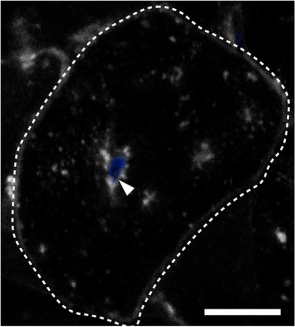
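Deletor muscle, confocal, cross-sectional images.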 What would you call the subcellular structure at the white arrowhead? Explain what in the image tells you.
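The arrowhead points to a small blue body near the centre of the dashed outline. White puncta gather around it. The answer: centrally positioned nucleus.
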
